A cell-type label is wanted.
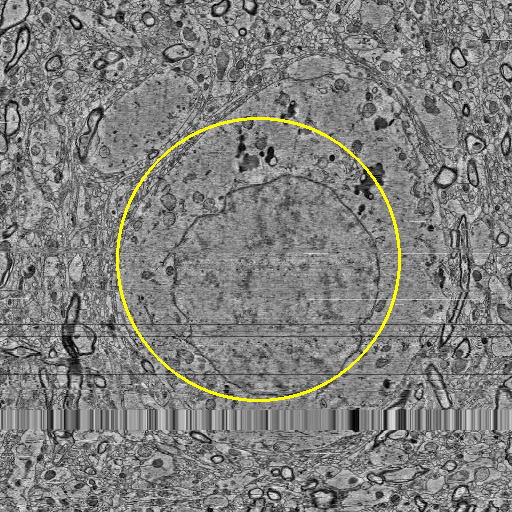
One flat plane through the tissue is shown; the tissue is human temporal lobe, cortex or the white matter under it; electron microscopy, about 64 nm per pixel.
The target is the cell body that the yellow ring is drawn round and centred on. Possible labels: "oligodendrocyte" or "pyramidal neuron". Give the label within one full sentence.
Of the labels offered, the cell in the middle of the yellow ring is a pyramidal neuron.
